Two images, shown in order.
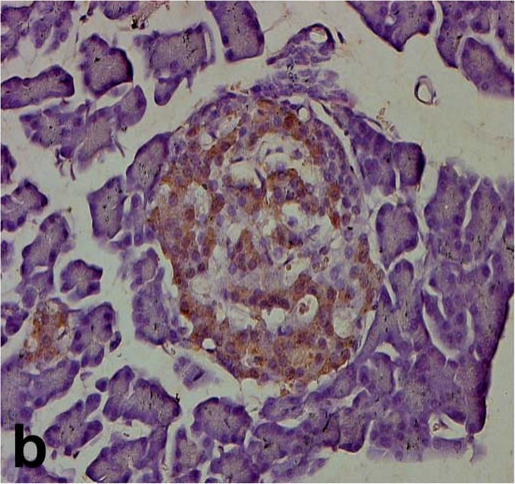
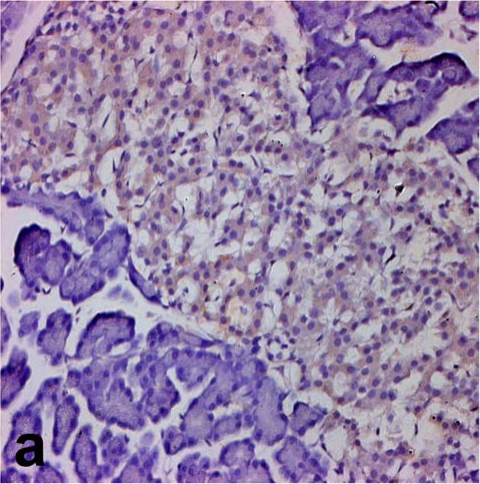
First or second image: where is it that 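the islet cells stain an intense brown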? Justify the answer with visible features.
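The first image. Second image: the islet cells are pale with only a faint brown tint. First image: the islet cells have dense brown cytoplasm, especially at the cluster's edge.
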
